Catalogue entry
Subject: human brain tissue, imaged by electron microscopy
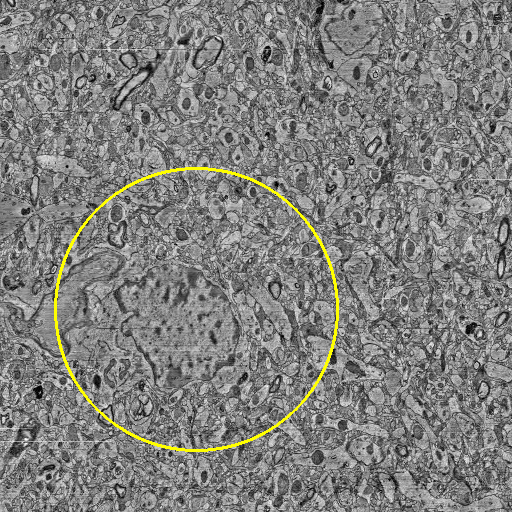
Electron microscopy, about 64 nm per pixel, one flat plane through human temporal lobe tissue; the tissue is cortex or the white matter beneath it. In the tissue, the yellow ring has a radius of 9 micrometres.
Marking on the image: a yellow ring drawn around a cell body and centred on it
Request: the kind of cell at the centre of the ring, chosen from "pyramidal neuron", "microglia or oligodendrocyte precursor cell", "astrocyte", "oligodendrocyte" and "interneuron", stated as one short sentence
The ring has a microglial cell or oligodendrocyte precursor cell at its centre.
